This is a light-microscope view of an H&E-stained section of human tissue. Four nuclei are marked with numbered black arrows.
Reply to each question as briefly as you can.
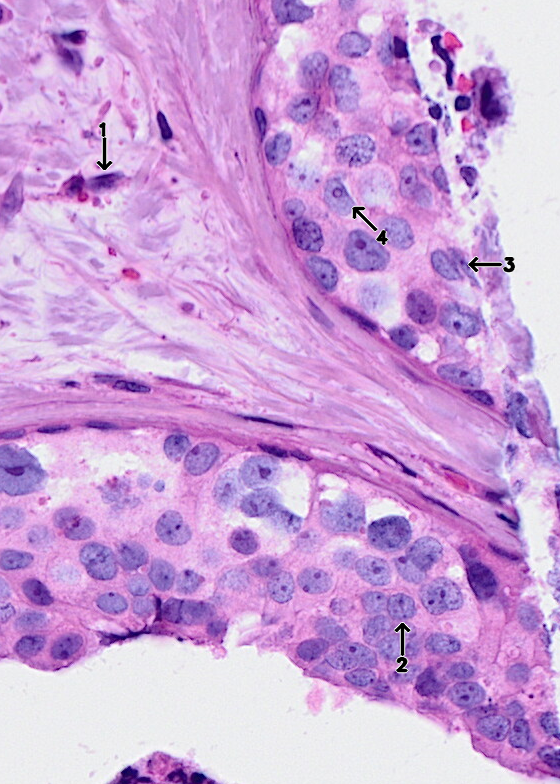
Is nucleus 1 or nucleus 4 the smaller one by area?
1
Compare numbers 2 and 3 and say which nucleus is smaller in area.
2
